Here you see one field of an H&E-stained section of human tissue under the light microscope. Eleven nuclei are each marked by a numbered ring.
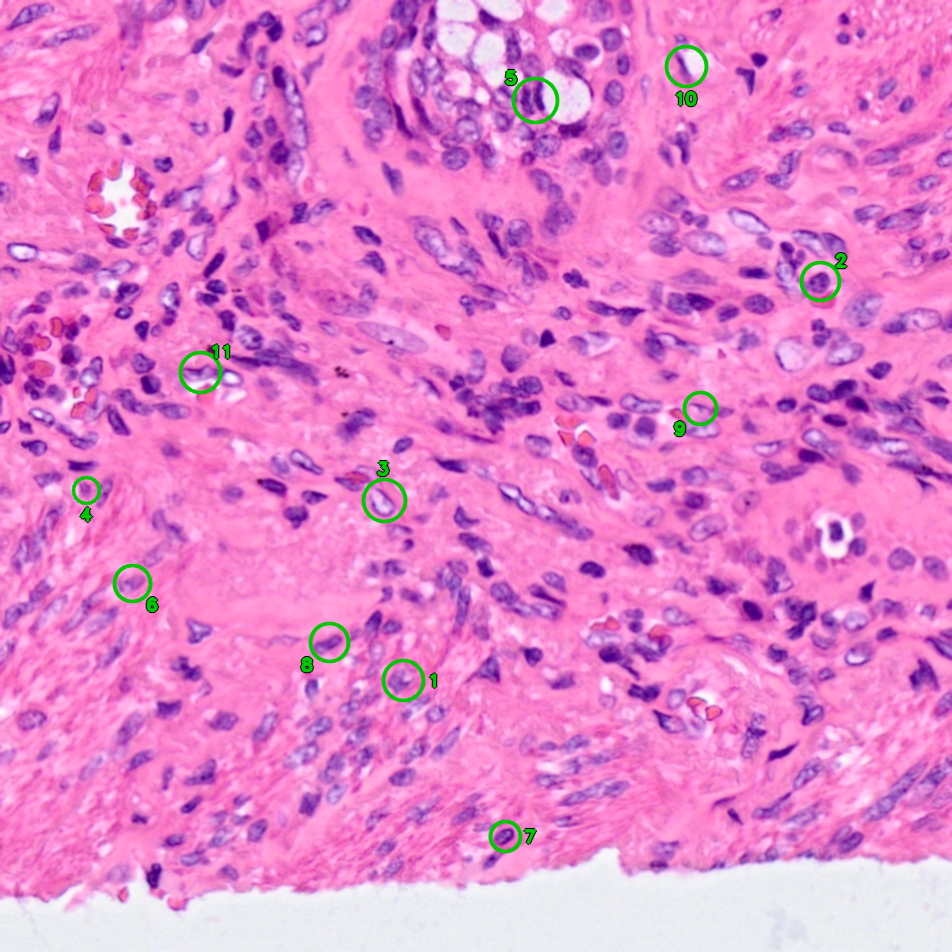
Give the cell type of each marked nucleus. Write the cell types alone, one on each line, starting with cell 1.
smooth muscle cell or pericyte
lymphocyte
endothelial cell
smooth muscle cell or pericyte
ciliated epithelial cell
smooth muscle cell or pericyte
mast cell
mast cell
endothelial cell
endothelial cell
endothelial cell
